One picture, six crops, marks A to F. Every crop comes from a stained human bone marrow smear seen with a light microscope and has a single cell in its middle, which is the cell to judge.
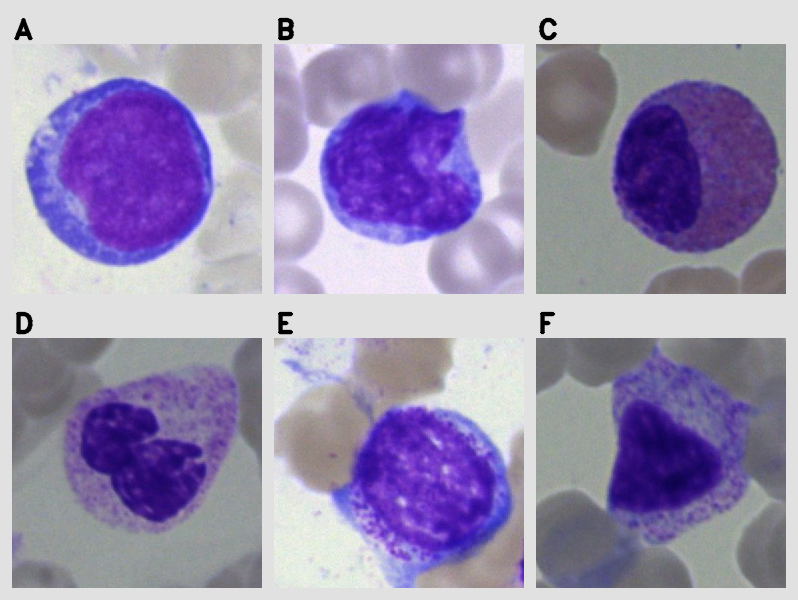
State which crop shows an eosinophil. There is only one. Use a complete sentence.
Of these crops, it is crop C that shows an eosinophil.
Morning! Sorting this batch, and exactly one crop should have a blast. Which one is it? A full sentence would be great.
The crop with a blast at its center is crop A.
